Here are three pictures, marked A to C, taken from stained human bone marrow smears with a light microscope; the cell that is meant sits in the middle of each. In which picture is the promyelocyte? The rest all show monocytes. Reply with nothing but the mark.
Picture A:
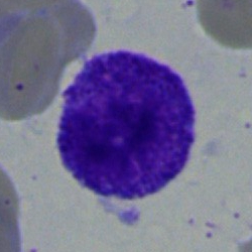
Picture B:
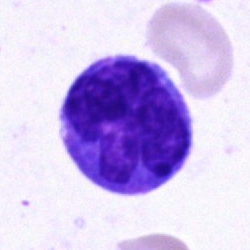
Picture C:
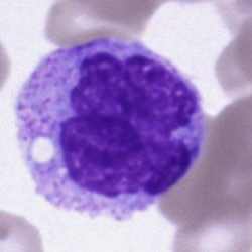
A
